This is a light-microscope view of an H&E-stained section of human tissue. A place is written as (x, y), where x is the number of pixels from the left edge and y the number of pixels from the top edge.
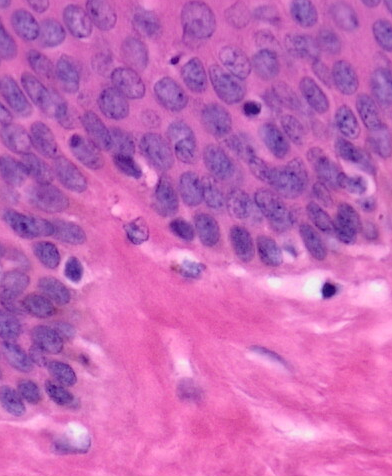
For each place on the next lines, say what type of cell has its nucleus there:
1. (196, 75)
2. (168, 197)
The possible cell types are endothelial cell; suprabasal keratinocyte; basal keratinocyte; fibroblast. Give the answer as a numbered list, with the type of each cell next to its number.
1. suprabasal keratinocyte
2. basal keratinocyte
